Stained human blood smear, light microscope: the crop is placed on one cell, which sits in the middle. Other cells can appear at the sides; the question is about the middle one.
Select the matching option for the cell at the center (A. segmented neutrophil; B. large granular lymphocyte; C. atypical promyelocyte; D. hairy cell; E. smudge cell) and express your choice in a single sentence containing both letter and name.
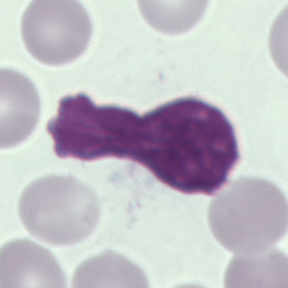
The cell right in the middle is a smudge cell, so option E is the one.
